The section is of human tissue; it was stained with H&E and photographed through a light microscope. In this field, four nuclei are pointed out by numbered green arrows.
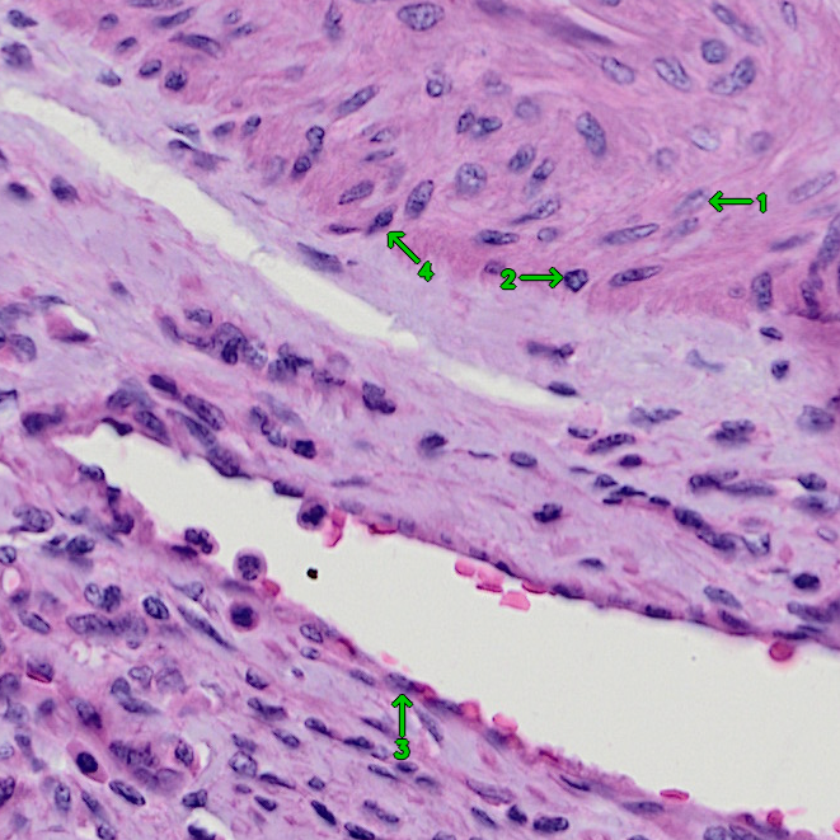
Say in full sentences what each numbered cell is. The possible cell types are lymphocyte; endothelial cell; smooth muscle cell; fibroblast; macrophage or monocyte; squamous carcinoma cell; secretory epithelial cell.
Cell 1 is a smooth muscle cell, cell 2 is a smooth muscle cell, cell 3 is an endothelial cell and cell 4 is a smooth muscle cell.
